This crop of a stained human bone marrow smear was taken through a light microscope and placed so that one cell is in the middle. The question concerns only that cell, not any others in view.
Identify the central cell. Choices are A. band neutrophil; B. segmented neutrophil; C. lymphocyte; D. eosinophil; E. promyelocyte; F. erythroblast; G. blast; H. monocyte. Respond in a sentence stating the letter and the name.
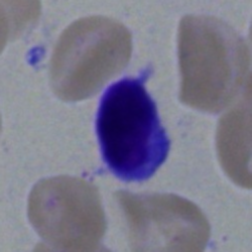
Option C correctly states that the central cell is a lymphocyte.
